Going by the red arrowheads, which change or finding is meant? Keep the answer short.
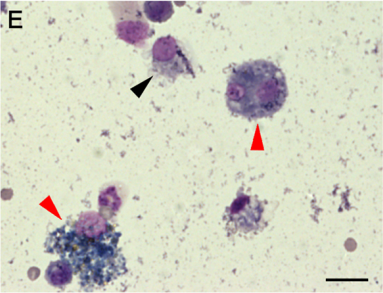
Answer: Enlarged macrophages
